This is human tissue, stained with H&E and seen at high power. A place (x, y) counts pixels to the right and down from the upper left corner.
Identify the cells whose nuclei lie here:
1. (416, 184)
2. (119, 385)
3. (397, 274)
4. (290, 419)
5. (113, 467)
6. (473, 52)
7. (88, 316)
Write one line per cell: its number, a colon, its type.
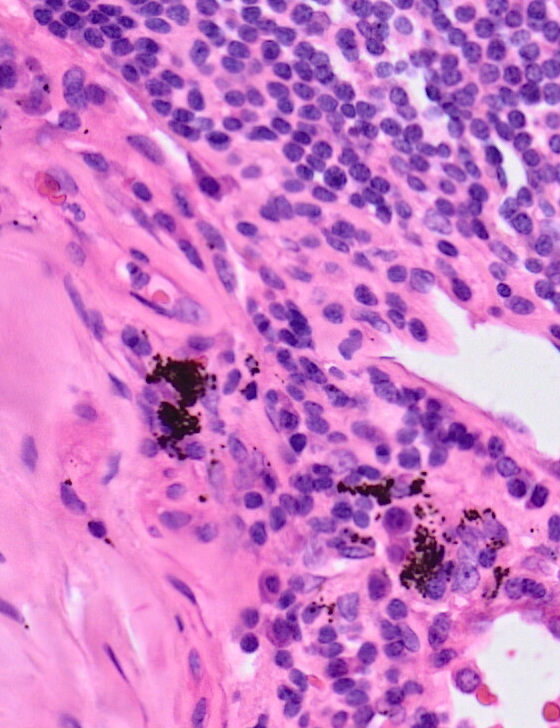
1: lymphocyte
2: fibroblast
3: lymphocyte
4: plasma cell
5: fibroblast
6: lymphocyte
7: fibroblast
